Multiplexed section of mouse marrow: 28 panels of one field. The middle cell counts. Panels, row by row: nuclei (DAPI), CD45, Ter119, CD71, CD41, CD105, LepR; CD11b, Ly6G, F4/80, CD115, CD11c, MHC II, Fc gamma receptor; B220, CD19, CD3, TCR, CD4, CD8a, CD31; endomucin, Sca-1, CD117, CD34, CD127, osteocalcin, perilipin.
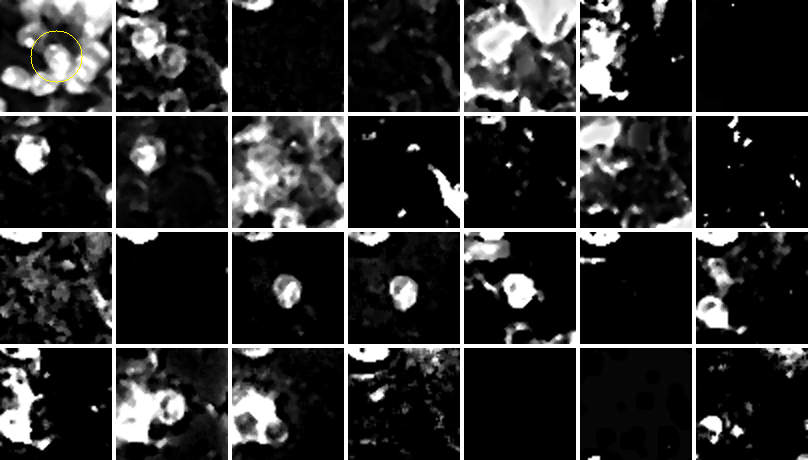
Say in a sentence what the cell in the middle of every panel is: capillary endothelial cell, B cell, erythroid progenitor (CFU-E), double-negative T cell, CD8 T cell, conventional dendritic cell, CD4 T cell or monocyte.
This is a CD4 T cell.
